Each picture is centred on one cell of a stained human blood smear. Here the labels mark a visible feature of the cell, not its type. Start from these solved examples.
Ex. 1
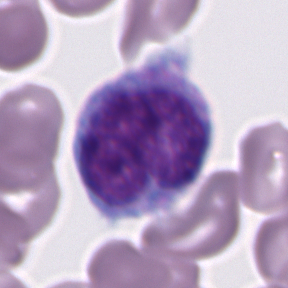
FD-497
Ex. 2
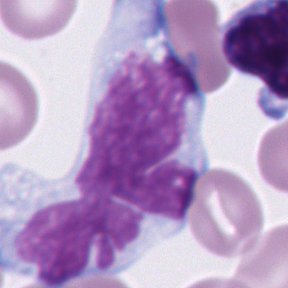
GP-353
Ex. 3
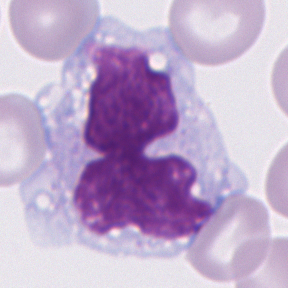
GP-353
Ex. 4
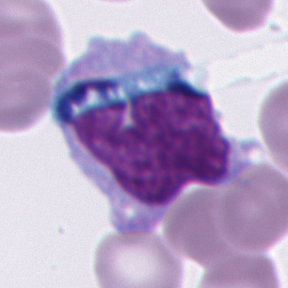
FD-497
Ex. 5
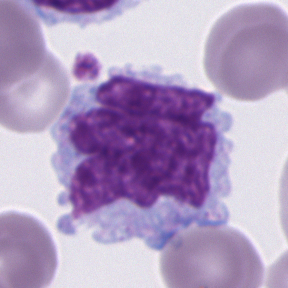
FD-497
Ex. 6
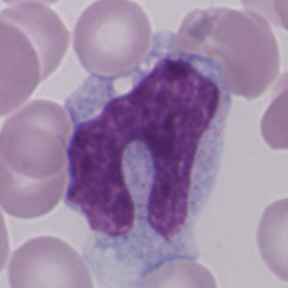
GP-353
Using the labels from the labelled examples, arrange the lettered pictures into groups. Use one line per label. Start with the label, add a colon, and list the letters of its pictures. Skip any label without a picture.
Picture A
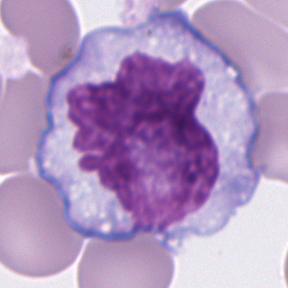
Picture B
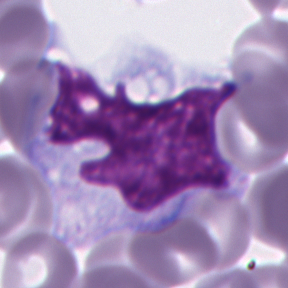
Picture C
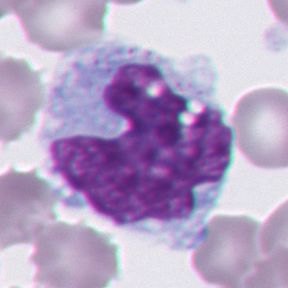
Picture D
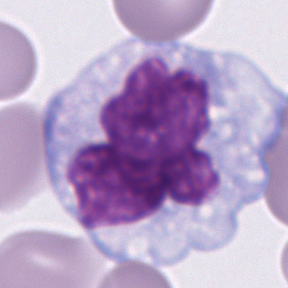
GP-353: A, B, C, D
